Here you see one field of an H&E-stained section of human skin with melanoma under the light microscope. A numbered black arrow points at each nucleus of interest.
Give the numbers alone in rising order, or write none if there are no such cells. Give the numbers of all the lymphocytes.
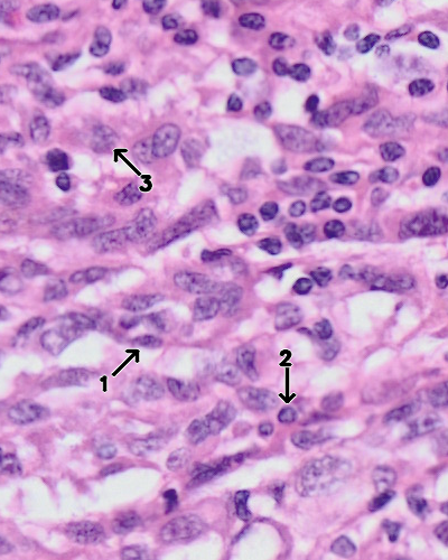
2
